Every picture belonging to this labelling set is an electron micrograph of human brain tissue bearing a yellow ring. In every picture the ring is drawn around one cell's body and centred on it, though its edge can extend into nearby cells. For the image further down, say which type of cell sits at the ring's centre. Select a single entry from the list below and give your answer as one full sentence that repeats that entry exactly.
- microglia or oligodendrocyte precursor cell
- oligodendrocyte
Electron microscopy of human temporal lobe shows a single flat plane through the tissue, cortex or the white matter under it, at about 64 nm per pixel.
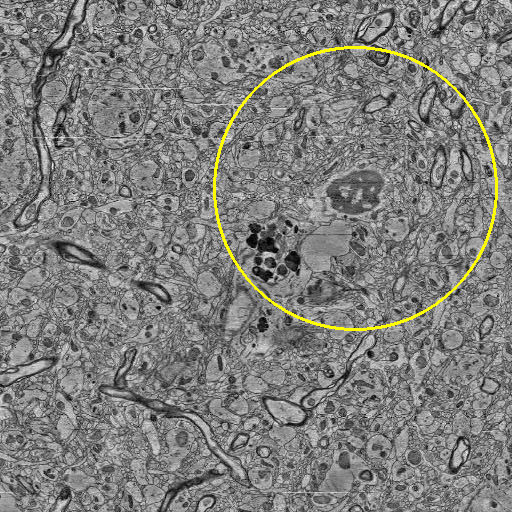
In the picture, a microglial cell or oligodendrocyte precursor cell is the cell at the centre of the yellow ring.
